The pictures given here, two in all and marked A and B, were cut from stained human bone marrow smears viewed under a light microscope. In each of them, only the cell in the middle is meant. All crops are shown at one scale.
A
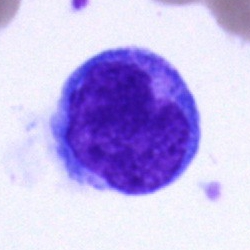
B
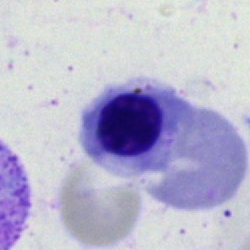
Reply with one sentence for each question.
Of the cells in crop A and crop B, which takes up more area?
The cell in crop A is larger, with about 2.5 times the area of the one in crop B.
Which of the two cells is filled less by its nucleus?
Of the two, the nucleus in crop B leaves more room for cytoplasm.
